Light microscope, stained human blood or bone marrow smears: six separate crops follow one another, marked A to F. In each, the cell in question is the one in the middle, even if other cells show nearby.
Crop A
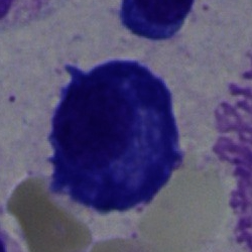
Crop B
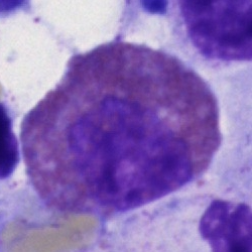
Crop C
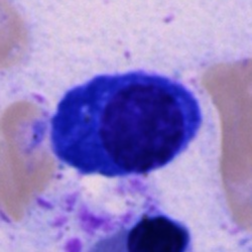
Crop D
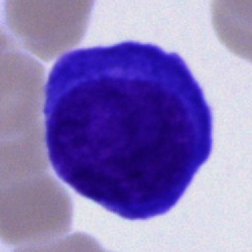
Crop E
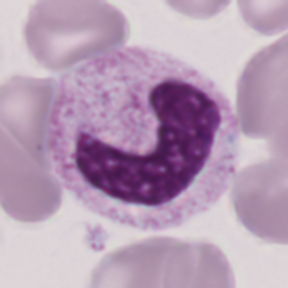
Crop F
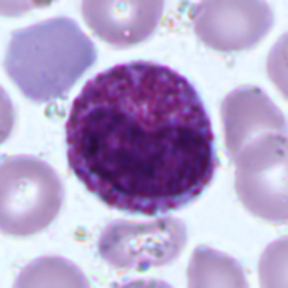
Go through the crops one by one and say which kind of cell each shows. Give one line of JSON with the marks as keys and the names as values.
{"A": "plasma cell", "B": "eosinophil", "C": "plasma cell", "D": "plasma cell", "E": "band neutrophil", "F": "eosinophil"}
